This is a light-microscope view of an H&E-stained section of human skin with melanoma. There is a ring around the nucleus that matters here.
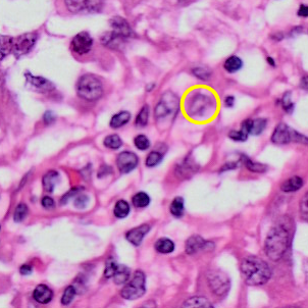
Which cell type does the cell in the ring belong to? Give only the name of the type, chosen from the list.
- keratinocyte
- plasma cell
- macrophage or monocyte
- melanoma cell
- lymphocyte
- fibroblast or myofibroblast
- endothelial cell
endothelial cell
